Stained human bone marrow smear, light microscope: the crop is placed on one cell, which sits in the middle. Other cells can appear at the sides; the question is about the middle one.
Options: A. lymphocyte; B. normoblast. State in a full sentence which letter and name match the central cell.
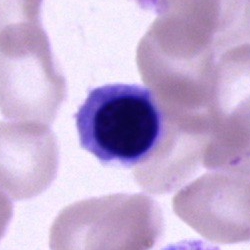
The centered cell is a normoblast, which is why option B is right.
